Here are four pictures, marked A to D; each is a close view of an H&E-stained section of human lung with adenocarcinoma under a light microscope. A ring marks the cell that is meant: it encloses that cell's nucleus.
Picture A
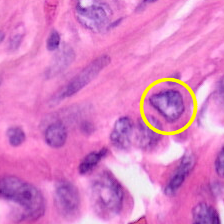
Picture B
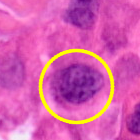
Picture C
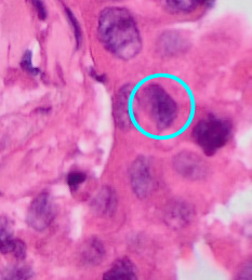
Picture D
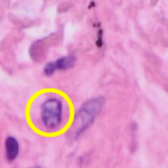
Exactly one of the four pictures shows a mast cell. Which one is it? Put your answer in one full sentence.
The mast cell is the one in picture D.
